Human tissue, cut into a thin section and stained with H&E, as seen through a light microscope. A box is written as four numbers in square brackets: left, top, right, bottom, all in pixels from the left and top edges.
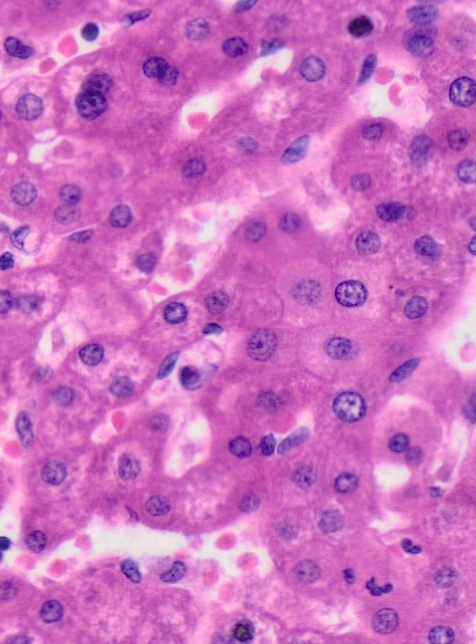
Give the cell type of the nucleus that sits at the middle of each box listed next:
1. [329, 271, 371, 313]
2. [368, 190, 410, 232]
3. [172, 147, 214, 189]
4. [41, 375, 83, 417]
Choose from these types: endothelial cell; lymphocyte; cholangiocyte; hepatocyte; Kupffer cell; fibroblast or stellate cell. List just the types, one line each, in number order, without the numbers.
hepatocyte
fibroblast or stellate cell
hepatocyte
hepatocyte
